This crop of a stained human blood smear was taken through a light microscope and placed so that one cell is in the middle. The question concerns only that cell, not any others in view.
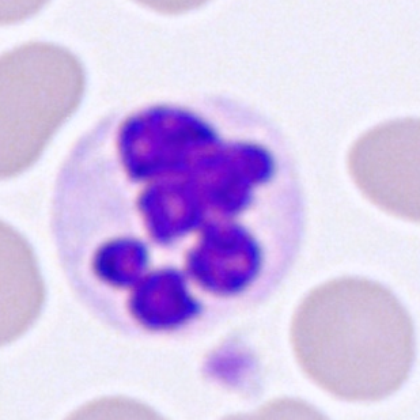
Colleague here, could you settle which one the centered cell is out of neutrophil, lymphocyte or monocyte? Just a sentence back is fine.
The centrally positioned cell in the crop represents a neutrophil.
